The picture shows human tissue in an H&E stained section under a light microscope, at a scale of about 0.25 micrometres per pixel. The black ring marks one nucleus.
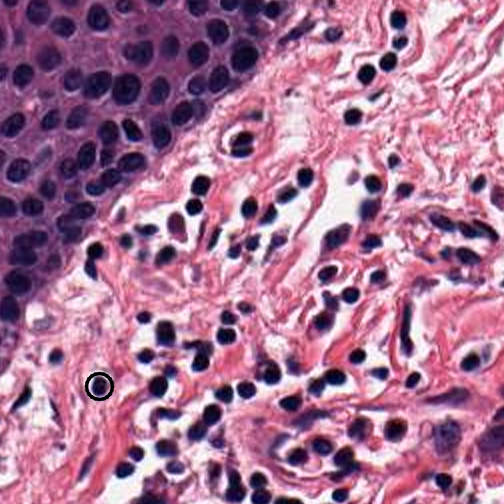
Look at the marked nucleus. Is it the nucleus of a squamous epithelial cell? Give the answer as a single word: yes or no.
no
